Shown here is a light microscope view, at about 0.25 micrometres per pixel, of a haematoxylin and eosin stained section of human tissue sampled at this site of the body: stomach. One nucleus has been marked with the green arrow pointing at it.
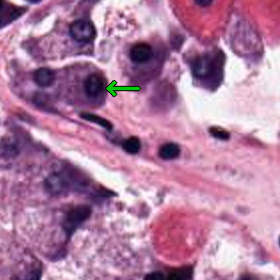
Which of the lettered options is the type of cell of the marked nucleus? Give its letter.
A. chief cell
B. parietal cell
A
